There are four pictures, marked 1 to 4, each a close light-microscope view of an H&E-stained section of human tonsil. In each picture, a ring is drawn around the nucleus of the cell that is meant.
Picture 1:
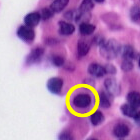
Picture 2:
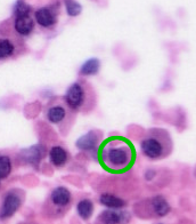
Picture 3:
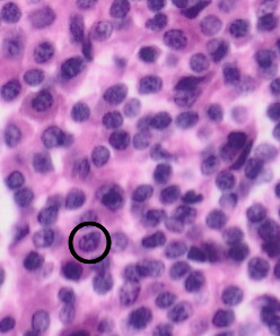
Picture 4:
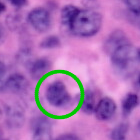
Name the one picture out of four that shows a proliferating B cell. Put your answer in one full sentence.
The picture with the proliferating B cell is 4.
